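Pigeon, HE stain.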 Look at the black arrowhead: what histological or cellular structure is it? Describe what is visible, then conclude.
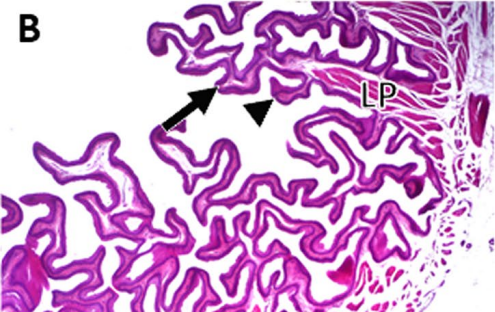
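Secondary mucosal folds. The arrowhead lies at a branch arising from a large fold. The branch has its own connective-tissue core.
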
